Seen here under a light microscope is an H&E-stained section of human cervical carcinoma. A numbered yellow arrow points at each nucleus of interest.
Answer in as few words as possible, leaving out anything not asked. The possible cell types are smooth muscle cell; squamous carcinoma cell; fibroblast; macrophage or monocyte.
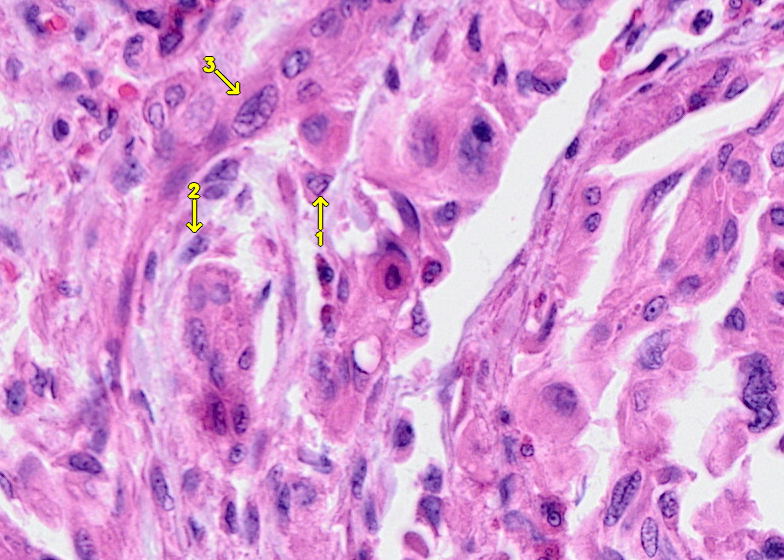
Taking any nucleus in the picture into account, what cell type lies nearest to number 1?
squamous carcinoma cell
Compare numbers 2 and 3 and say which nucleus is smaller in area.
2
